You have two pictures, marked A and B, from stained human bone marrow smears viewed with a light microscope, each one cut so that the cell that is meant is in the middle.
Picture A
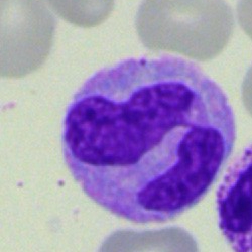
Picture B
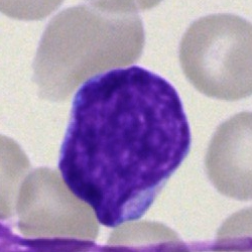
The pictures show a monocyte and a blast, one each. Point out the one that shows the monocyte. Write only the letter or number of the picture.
A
